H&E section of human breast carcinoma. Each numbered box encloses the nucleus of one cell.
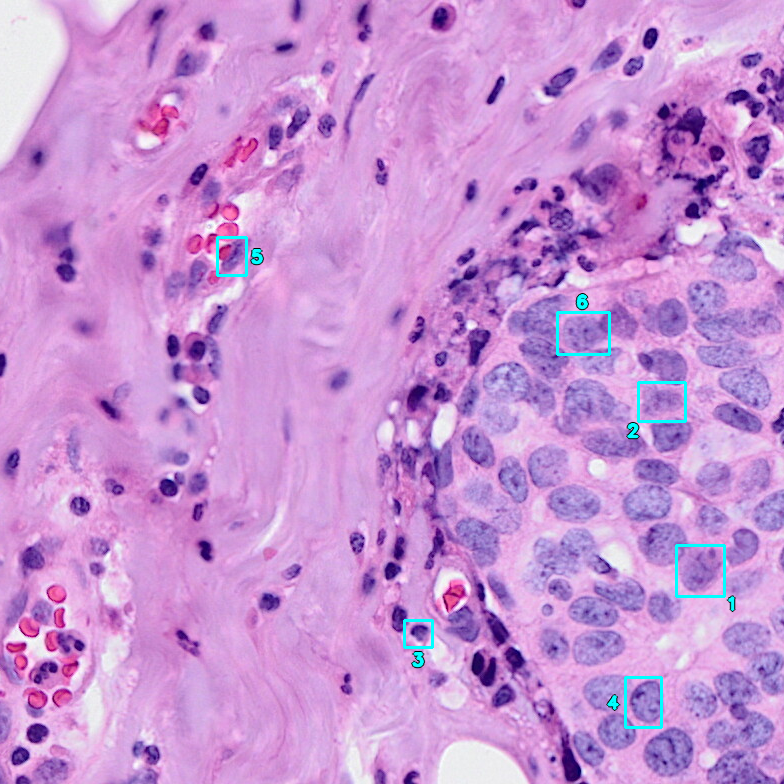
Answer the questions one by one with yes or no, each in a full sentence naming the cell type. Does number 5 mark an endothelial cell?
Yes, the numbered cell 5 is identified as an endothelial cell.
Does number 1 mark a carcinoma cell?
Yes, that is correct: the cell numbered 1 is a carcinoma cell.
